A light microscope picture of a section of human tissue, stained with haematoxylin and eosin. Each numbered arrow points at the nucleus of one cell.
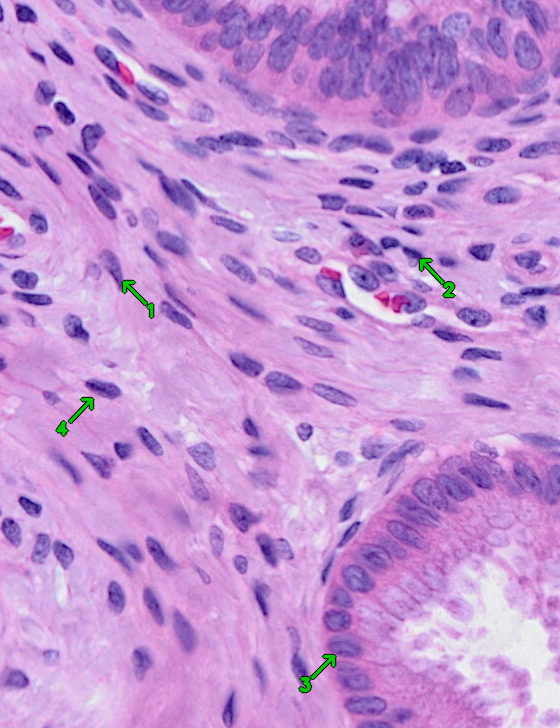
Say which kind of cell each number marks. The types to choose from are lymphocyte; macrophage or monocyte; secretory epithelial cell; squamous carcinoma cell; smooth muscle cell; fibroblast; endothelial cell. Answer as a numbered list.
1. fibroblast
2. fibroblast
3. secretory epithelial cell
4. fibroblast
